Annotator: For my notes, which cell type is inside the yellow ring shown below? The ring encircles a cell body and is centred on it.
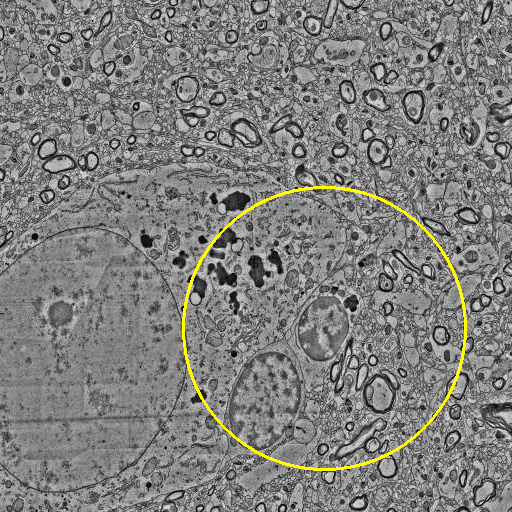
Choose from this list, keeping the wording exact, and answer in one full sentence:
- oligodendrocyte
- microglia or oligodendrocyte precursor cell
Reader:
At the centre of the yellow ring there is a microglial cell or oligodendrocyte precursor cell, as shown in the picture.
